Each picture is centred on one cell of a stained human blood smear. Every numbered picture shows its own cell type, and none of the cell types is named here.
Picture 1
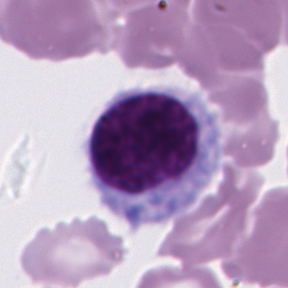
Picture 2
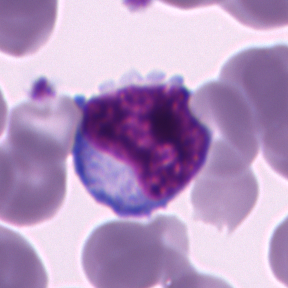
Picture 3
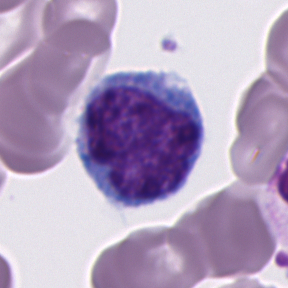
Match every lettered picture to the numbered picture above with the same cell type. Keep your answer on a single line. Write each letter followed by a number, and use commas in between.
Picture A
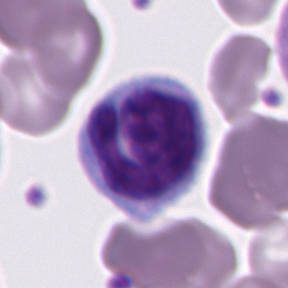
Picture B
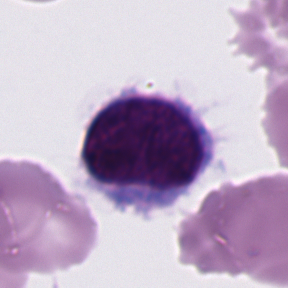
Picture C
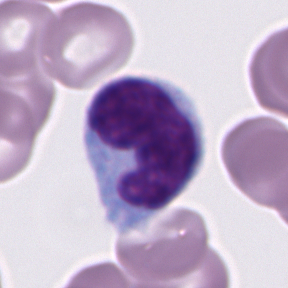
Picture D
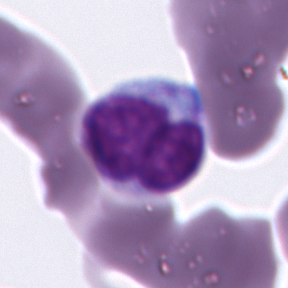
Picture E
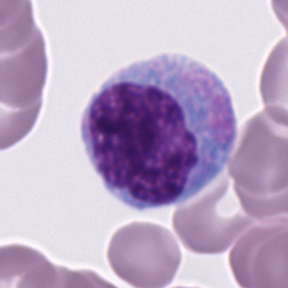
A 3, B 1, C 3, D 2, E 3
